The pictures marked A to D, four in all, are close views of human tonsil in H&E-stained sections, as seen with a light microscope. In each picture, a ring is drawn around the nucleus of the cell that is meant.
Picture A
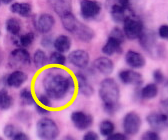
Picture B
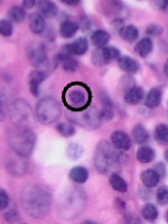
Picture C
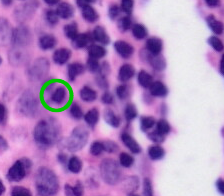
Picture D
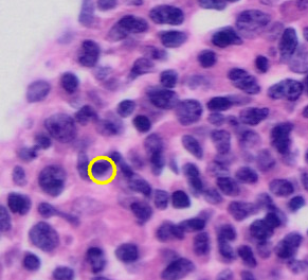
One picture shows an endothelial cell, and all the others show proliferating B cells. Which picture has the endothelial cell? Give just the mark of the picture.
B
